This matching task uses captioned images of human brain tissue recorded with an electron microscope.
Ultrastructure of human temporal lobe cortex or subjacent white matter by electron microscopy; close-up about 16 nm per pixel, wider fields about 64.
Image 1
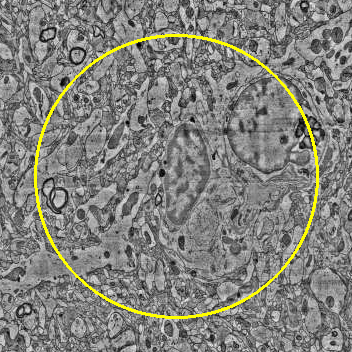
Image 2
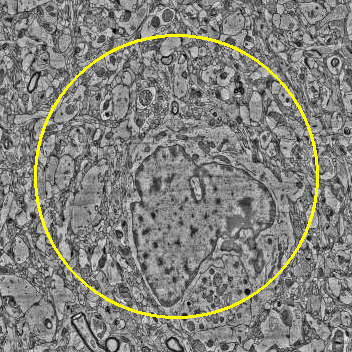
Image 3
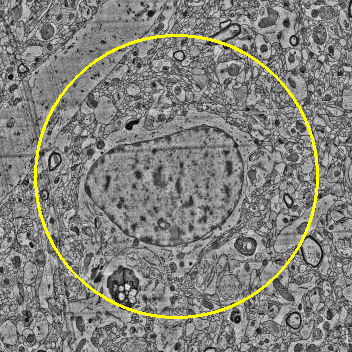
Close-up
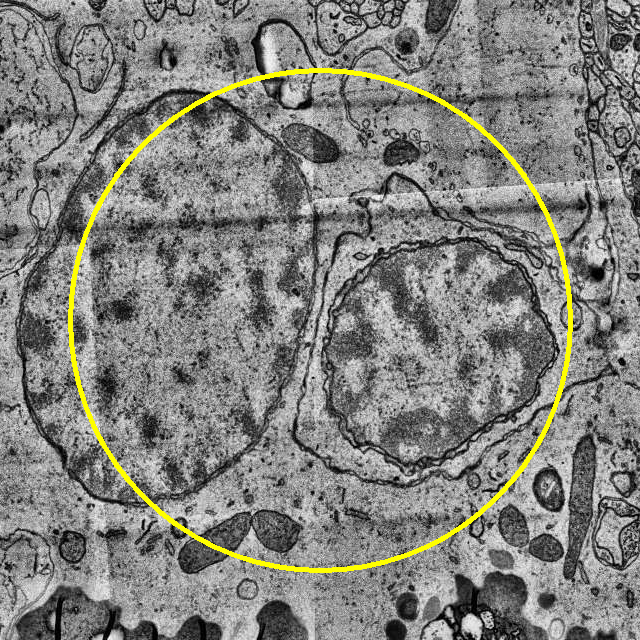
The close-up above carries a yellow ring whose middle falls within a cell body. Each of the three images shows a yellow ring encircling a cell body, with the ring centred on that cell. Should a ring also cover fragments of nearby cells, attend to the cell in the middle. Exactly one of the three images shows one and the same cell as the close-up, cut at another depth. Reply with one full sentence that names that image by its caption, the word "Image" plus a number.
The encircled cell in Image 3 is the cell in the close-up.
